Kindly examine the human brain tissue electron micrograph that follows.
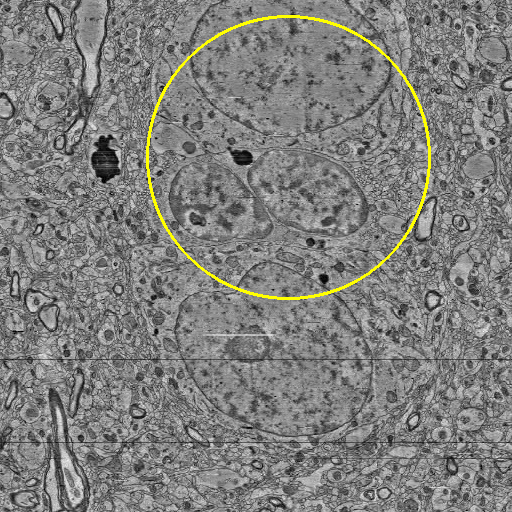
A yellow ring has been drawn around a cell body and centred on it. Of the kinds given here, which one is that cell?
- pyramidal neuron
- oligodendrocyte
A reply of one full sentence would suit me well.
The micrograph's ringed cell, the one at the ring's centre, is an oligodendrocyte.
